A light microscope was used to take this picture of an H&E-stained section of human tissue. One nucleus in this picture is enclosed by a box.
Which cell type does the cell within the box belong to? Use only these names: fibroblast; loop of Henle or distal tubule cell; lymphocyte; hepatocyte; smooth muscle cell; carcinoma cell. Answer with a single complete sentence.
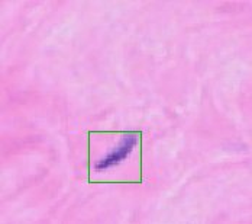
The identity of the cell within the box: it is a fibroblast.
